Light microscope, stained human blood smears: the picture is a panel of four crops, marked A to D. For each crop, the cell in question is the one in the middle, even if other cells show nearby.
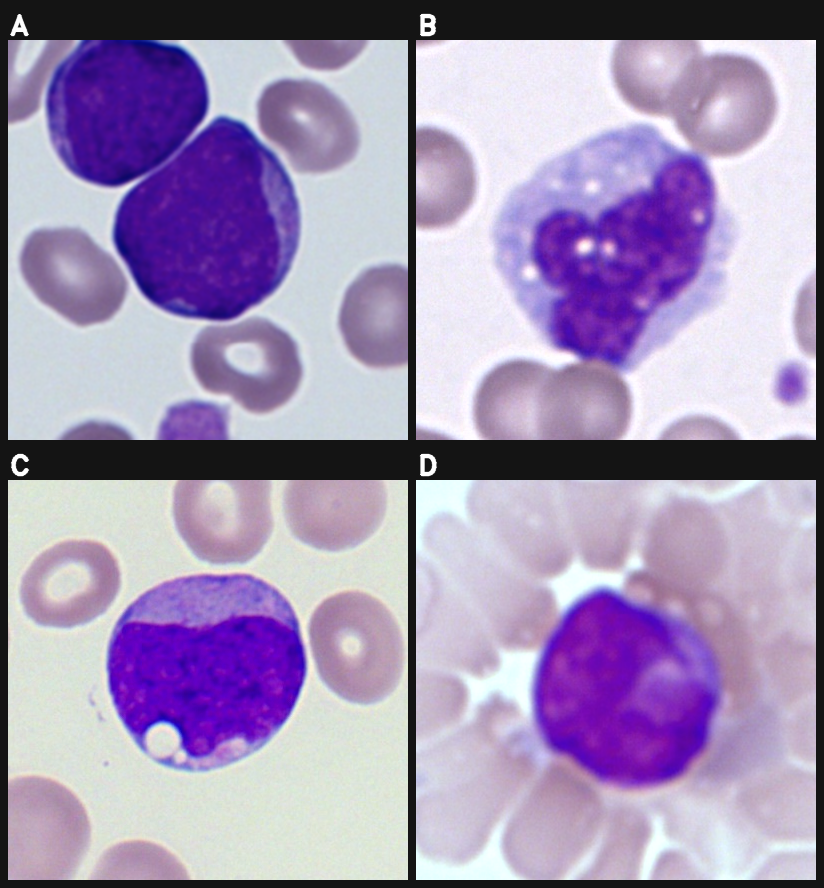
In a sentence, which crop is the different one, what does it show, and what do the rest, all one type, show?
Crop B, showing a monocyte, is the exception; the others all show blasts.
